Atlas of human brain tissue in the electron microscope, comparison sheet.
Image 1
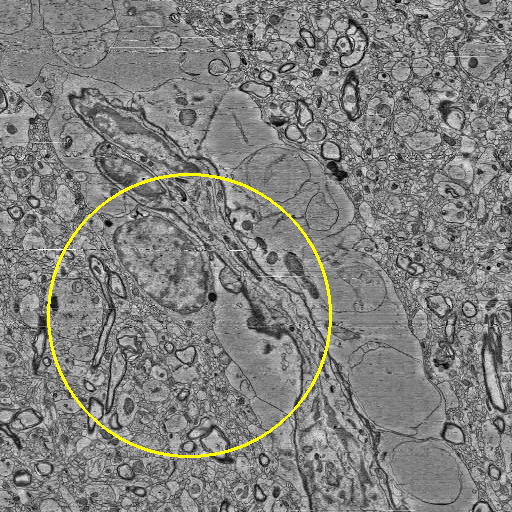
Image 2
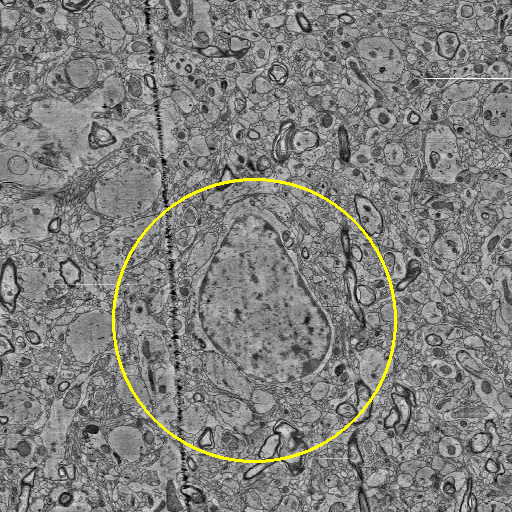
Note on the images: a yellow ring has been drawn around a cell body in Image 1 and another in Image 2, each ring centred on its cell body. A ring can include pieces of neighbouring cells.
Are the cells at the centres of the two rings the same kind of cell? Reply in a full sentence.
No, the two cells are of two kinds.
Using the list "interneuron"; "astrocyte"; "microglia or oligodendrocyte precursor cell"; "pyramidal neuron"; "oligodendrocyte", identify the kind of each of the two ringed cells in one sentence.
The first is an oligodendrocyte and the second is a microglial cell or oligodendrocyte precursor cell.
